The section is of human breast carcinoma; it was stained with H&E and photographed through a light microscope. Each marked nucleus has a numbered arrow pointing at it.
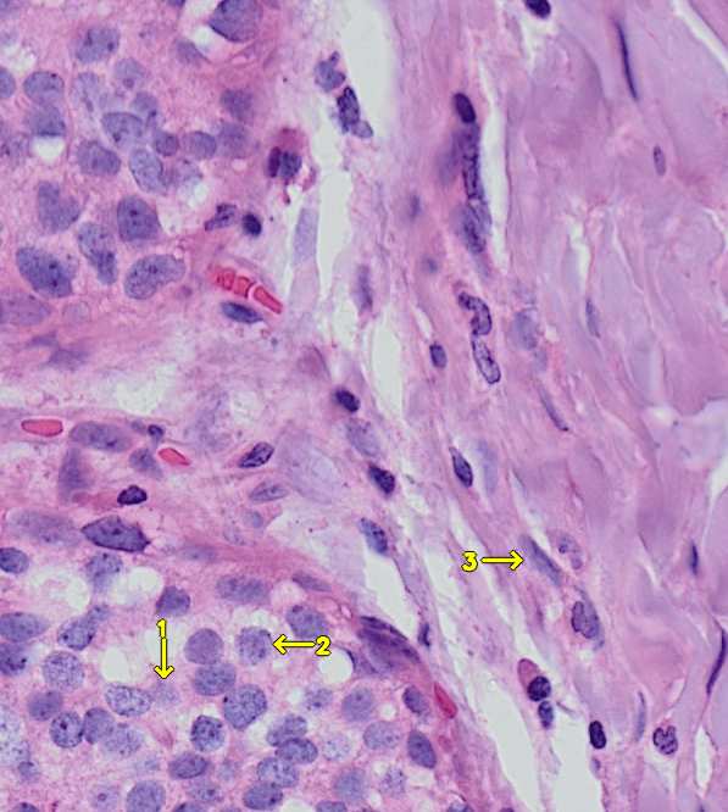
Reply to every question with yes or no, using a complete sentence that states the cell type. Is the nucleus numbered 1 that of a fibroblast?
No, the cell bearing the number 1 is a carcinoma cell, not a fibroblast.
